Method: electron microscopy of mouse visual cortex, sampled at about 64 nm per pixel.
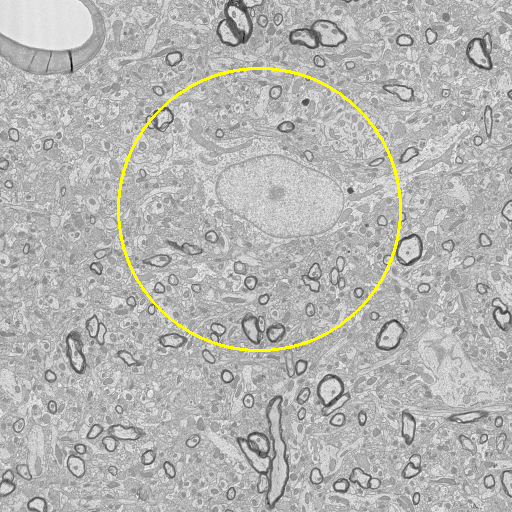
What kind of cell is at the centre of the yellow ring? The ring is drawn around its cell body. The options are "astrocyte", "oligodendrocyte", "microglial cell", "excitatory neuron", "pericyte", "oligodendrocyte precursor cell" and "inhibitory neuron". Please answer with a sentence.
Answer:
The yellow ring marks the cell body of an astrocyte.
